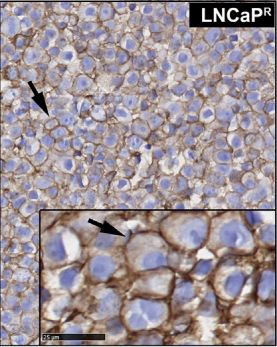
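Densely packed rounded tumour cells fill the field, each with a blue nucleus and a rim of cytoplasm. Brown stain outlines nearly every cell as a continuous ring at its border, giving a honeycomb pattern. In the inset the cells are larger, and the brown lies sharply along the cell membranes while the nuclei and inner cytoplasm remain blue. Some white clear spaces lie between groups of cells.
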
